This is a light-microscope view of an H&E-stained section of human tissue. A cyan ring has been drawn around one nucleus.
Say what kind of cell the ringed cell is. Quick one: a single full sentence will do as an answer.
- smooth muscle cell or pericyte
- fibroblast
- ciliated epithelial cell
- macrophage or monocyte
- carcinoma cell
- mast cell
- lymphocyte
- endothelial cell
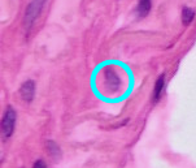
The expected answer is simply that the ringed cell is a smooth muscle cell or pericyte.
